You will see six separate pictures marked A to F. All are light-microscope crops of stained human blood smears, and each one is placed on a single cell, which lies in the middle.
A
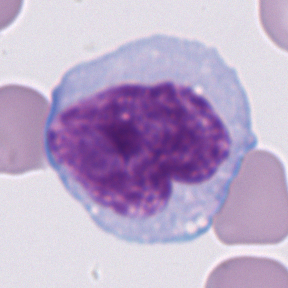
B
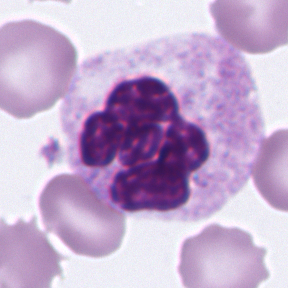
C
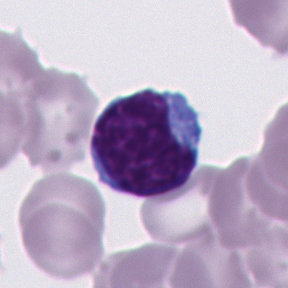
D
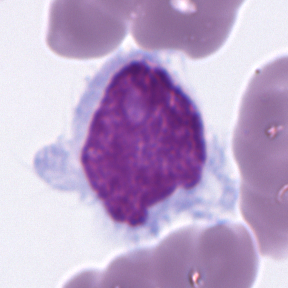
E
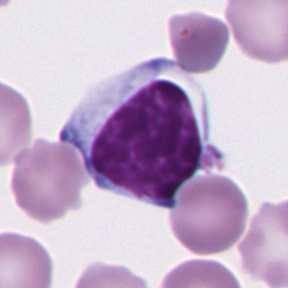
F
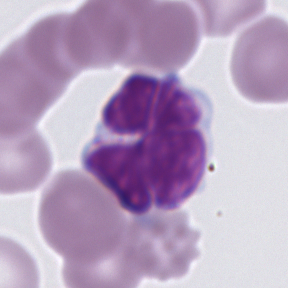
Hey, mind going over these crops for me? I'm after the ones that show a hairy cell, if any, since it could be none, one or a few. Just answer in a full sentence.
With the exception of crop D, the crops do not show a hairy cell.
